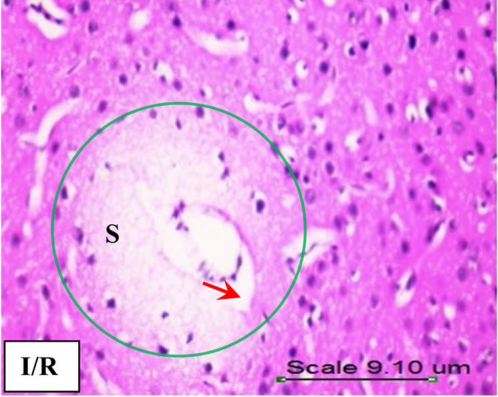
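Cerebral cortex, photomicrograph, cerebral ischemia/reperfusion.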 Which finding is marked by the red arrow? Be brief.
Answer: Perivascular edema.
